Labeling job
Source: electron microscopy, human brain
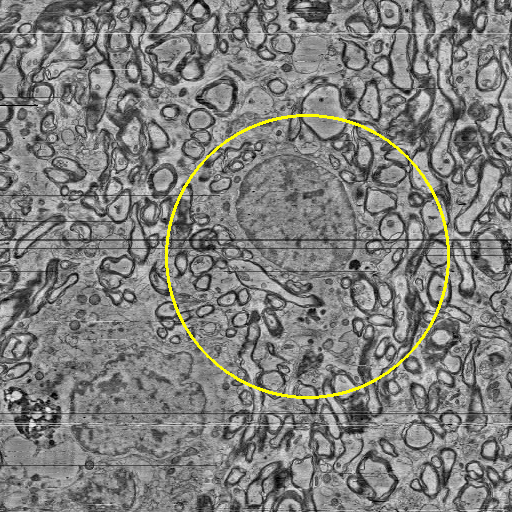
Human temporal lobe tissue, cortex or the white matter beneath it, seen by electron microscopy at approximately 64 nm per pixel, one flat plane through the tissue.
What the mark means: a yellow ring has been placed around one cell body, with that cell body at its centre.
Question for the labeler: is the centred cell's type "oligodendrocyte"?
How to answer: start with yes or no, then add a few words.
Yes, that is its type.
